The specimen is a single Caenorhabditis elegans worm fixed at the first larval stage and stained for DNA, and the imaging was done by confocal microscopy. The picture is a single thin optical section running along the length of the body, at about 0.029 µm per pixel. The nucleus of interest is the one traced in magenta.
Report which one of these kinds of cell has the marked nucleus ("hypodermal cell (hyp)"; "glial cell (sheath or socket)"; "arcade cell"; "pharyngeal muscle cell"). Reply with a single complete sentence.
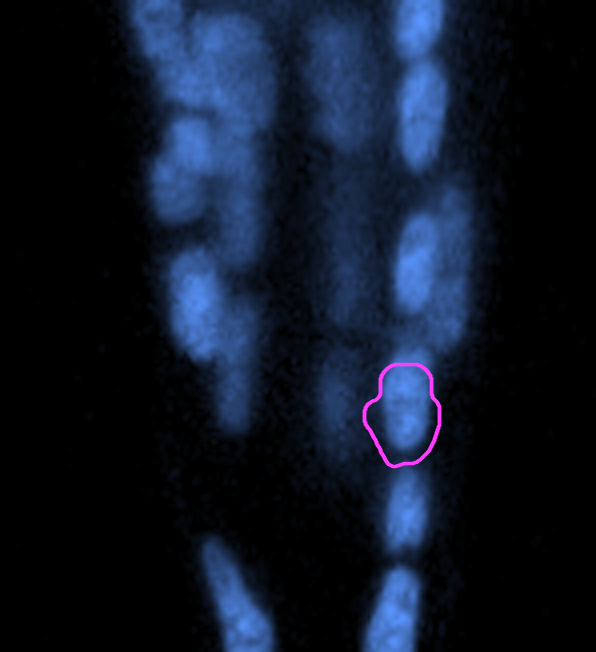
The marked nucleus belongs to an arcade cell.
